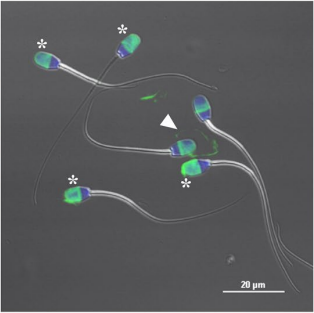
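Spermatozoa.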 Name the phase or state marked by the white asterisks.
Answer: Intact acrosome.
